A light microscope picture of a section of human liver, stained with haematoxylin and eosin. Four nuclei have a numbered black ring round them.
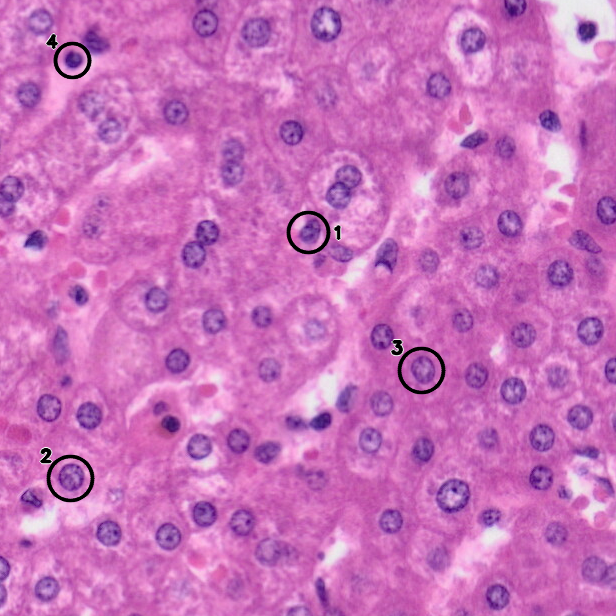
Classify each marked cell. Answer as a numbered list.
1. Kupffer cell
2. hepatocyte
3. hepatocyte
4. lymphocyte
